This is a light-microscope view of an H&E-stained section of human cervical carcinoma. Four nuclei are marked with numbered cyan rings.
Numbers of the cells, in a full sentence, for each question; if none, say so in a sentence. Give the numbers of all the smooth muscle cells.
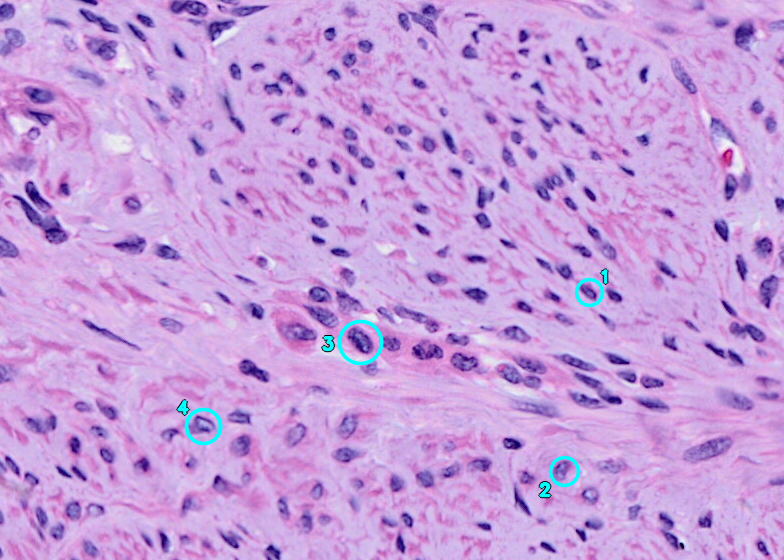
The cells picked out by numbers 1, 2 and 4 are smooth muscle cells.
